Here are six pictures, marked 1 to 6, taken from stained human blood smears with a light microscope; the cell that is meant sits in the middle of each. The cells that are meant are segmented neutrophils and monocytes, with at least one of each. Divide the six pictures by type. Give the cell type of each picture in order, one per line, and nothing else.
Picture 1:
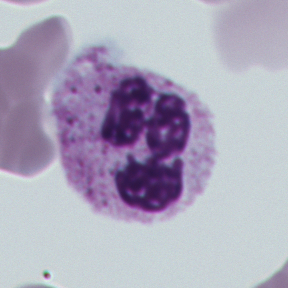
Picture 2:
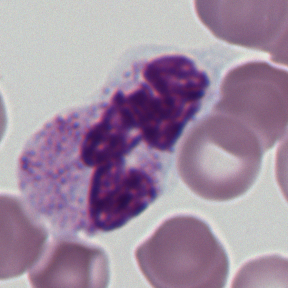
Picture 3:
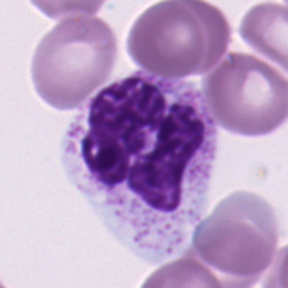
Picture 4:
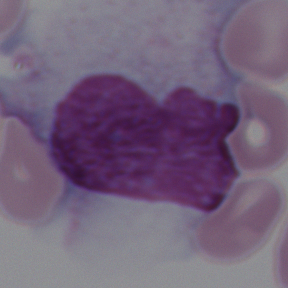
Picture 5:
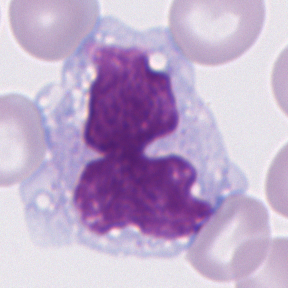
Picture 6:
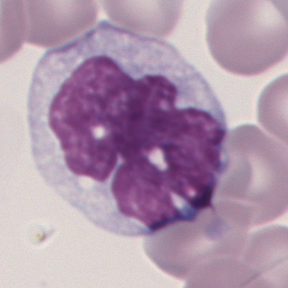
segmented neutrophil
segmented neutrophil
segmented neutrophil
monocyte
monocyte
monocyte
